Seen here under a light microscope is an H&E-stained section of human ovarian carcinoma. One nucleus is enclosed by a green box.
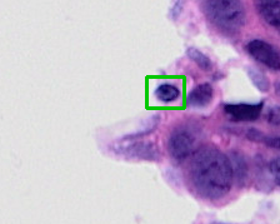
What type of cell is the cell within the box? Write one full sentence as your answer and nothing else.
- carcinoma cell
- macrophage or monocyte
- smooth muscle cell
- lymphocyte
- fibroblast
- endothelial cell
As classified here, the cell within the box is a lymphocyte.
